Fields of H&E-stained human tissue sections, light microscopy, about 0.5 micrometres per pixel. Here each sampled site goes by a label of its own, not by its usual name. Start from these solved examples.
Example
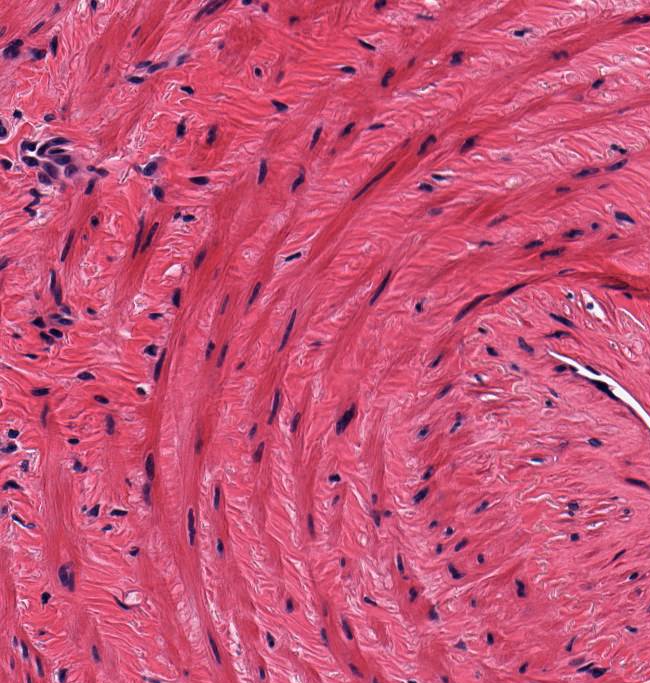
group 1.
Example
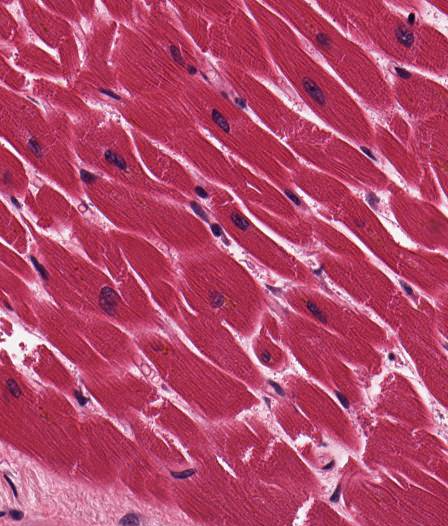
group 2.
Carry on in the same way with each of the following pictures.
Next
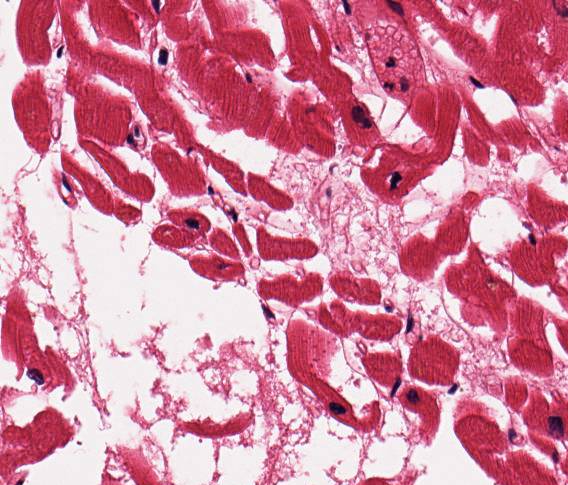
group 2.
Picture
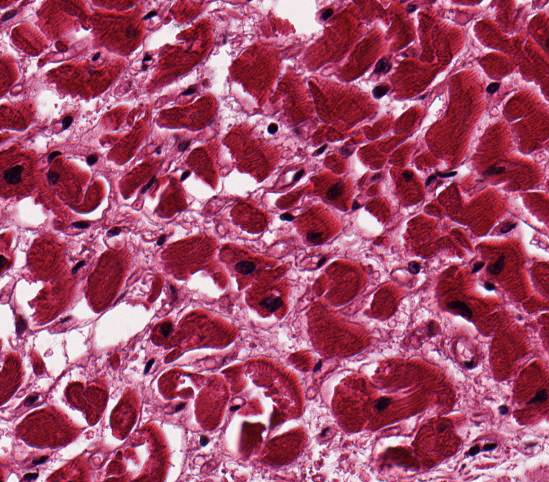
group 2.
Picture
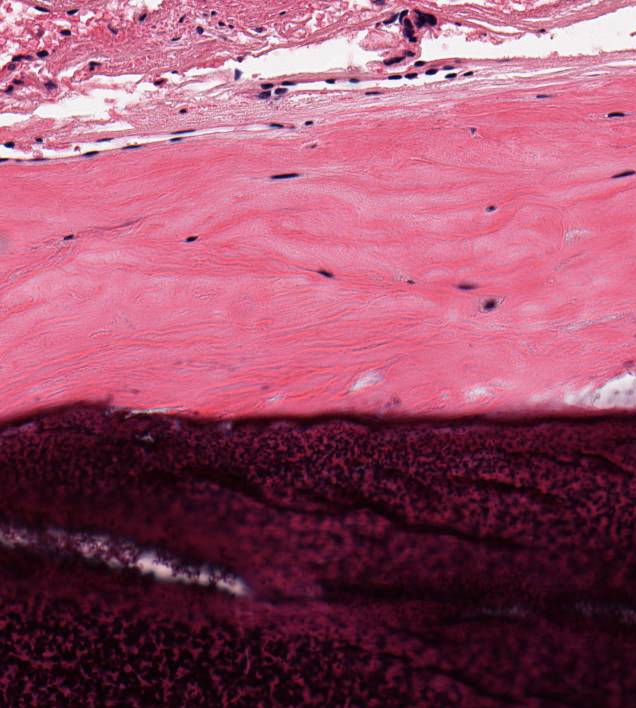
group 1.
